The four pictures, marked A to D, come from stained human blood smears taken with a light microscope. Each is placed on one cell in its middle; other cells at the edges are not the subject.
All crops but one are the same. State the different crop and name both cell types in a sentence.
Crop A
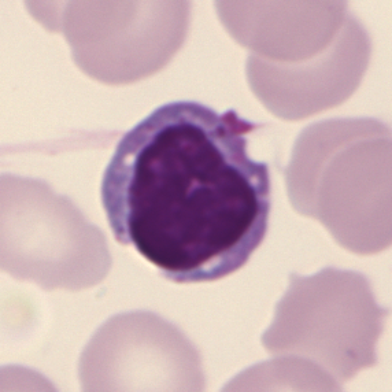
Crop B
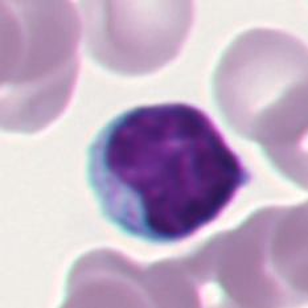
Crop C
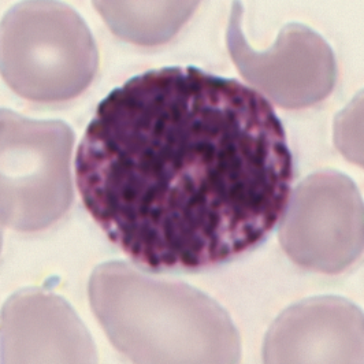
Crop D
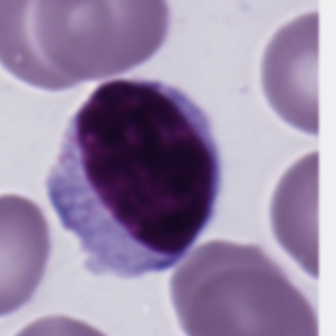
Crop C, showing a basophil, is the exception; the others all show lymphocytes.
